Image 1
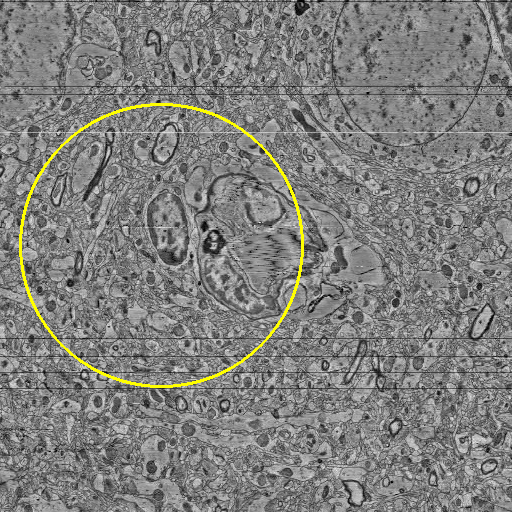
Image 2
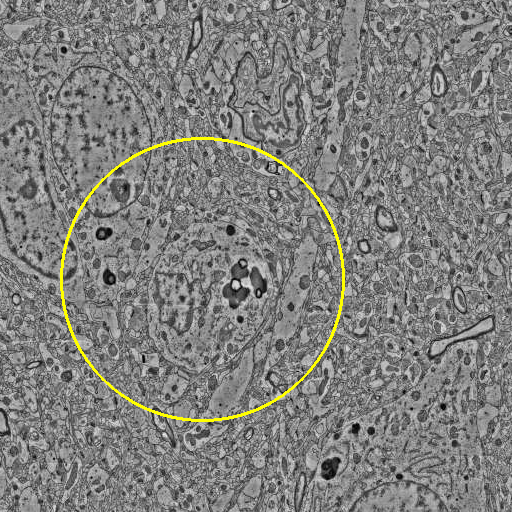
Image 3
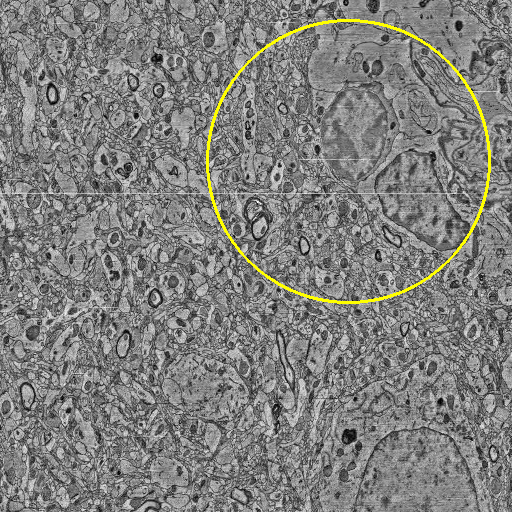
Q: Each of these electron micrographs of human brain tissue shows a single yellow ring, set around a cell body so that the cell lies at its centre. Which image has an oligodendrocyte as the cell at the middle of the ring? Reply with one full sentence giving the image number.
In image 3, the cell lying at the ring's centre is the requested one.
